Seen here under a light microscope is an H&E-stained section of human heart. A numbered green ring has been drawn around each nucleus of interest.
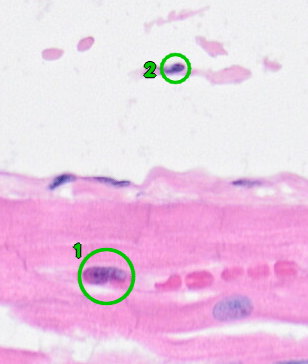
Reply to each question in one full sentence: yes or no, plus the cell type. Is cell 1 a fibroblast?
No, the cell labelled number 1 is not a fibroblast; it is an endothelial cell.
